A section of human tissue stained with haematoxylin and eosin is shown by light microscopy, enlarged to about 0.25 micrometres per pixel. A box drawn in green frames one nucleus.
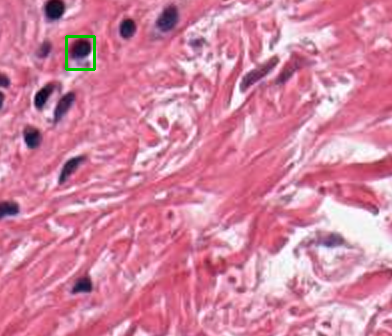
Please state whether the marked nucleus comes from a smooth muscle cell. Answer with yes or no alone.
no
